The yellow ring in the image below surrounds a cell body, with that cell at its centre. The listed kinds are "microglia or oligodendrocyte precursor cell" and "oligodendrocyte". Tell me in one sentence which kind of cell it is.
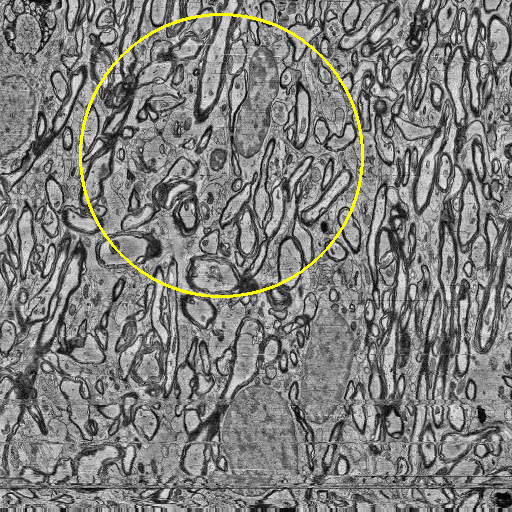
The centre of the ring holds a microglial cell or oligodendrocyte precursor cell.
